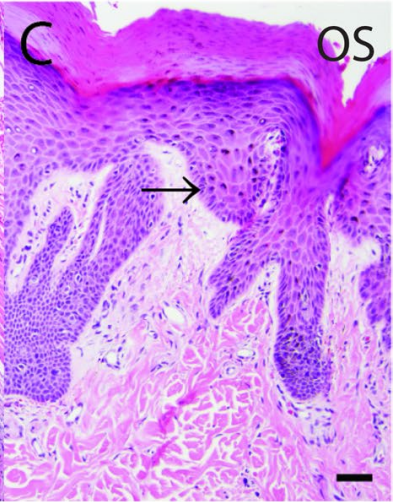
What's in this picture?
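A stratified squamous epithelium is capped by a thick, bright pink keratin layer and sends long rete ridges down into pink, densely fibrous dermis. The keratinocytes near the base are small and crowded with dark purple nuclei, becoming larger with paler pink cytoplasm toward the surface. Dark pigment granules are sparse and unevenly spread in the lower epithelial layers.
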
